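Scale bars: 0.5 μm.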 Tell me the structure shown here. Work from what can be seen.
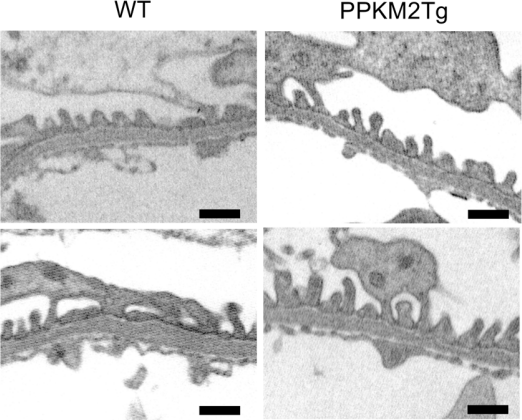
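Small regularly spaced projections sit in a row on one side of the band. Thin gaps separate neighbouring projections along the band. So: glomerular basement membrane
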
